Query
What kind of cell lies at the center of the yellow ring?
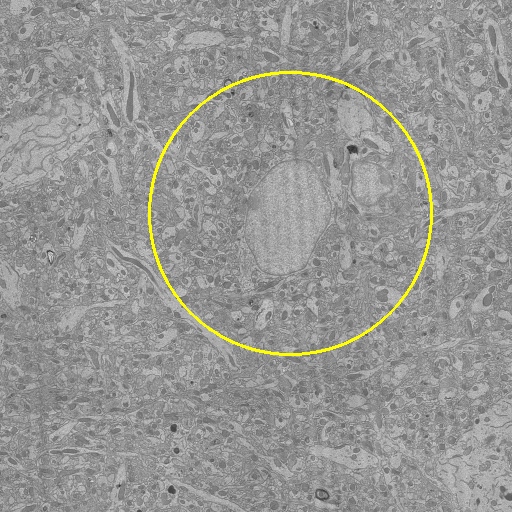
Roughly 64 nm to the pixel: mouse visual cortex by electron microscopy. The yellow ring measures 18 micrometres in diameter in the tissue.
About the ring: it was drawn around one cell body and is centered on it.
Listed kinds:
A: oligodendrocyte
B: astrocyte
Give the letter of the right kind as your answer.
B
